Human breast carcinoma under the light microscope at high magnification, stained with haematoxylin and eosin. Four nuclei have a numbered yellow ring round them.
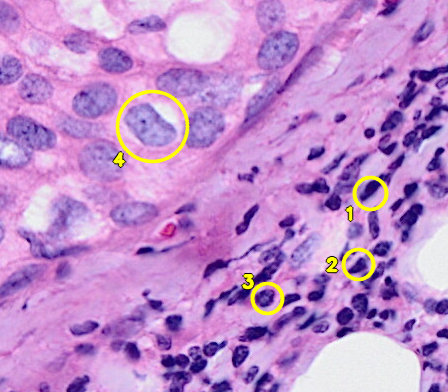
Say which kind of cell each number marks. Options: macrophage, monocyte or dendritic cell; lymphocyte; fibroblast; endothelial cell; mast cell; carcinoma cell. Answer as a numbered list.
1. lymphocyte
2. lymphocyte
3. mast cell
4. carcinoma cell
